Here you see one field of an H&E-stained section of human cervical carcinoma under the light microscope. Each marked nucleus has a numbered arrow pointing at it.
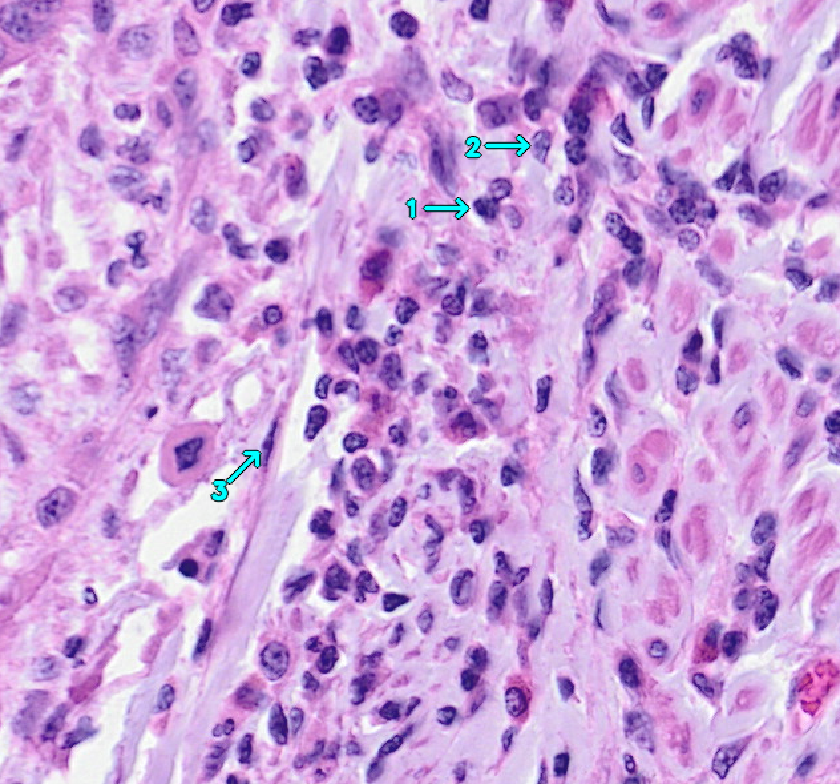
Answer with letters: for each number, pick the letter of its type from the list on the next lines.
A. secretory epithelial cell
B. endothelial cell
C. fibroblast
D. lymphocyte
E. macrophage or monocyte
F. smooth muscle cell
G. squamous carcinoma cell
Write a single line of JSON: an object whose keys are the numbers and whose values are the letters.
{"1": "D", "2": "D", "3": "C"}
